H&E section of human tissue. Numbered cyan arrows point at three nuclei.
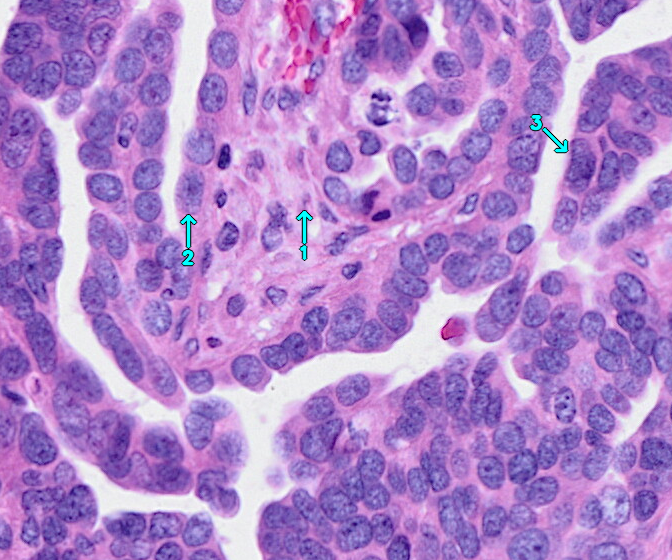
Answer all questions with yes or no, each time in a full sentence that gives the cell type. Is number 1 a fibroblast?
Yes, cell number 1 in this section is a fibroblast.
